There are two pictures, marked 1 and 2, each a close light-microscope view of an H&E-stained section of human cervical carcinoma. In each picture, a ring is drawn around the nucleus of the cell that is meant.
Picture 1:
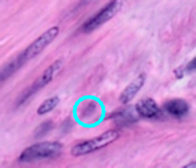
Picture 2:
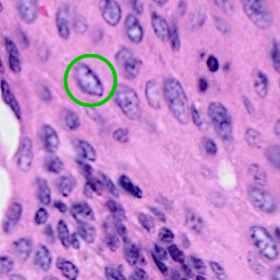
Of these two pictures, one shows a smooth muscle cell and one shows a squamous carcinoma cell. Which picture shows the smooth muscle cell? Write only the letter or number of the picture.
1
